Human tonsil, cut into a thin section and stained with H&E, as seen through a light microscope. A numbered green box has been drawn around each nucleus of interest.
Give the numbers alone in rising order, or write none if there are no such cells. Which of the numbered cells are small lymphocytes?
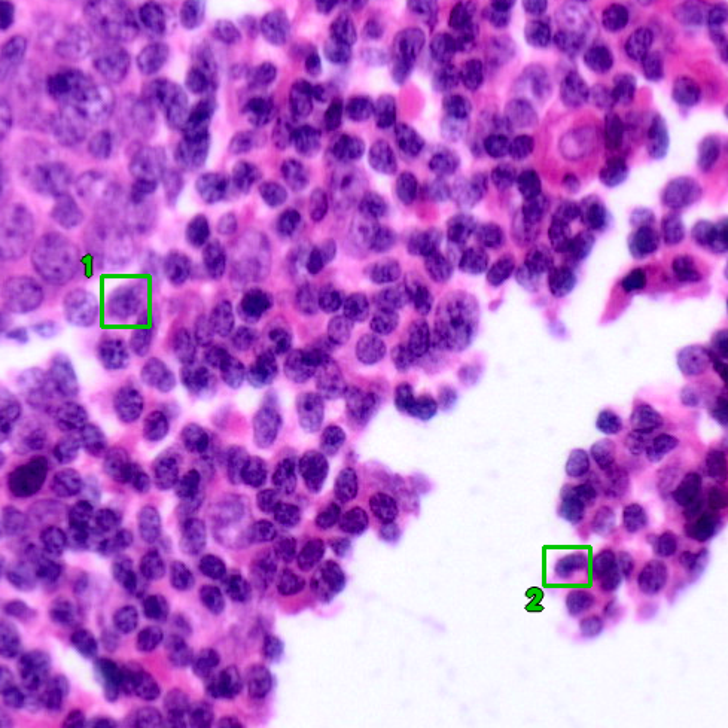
2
